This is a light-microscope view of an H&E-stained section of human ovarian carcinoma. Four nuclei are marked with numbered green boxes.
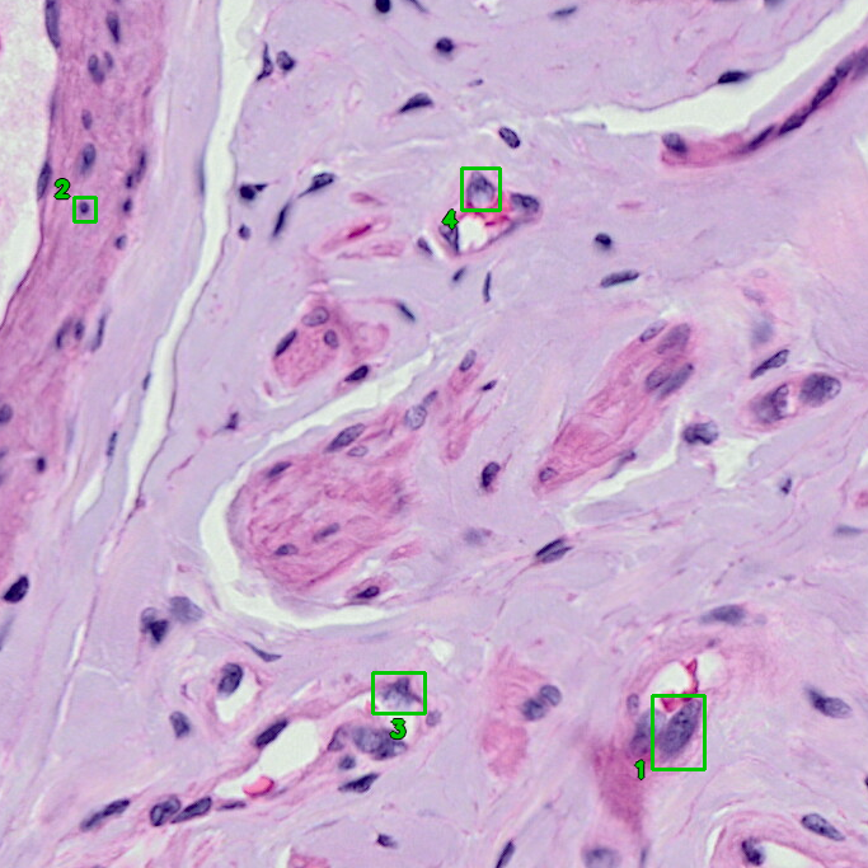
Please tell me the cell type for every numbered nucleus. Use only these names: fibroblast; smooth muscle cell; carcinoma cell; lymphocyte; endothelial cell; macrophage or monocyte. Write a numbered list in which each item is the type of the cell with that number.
1. endothelial cell
2. smooth muscle cell
3. endothelial cell
4. endothelial cell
